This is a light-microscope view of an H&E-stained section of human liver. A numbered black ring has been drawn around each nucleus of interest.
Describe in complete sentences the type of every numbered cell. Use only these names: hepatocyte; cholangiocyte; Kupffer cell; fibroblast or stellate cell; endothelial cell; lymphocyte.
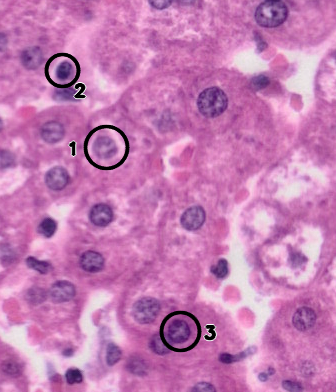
Cells 1 and 3 are hepatocytes. Cell 2 is a lymphocyte.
